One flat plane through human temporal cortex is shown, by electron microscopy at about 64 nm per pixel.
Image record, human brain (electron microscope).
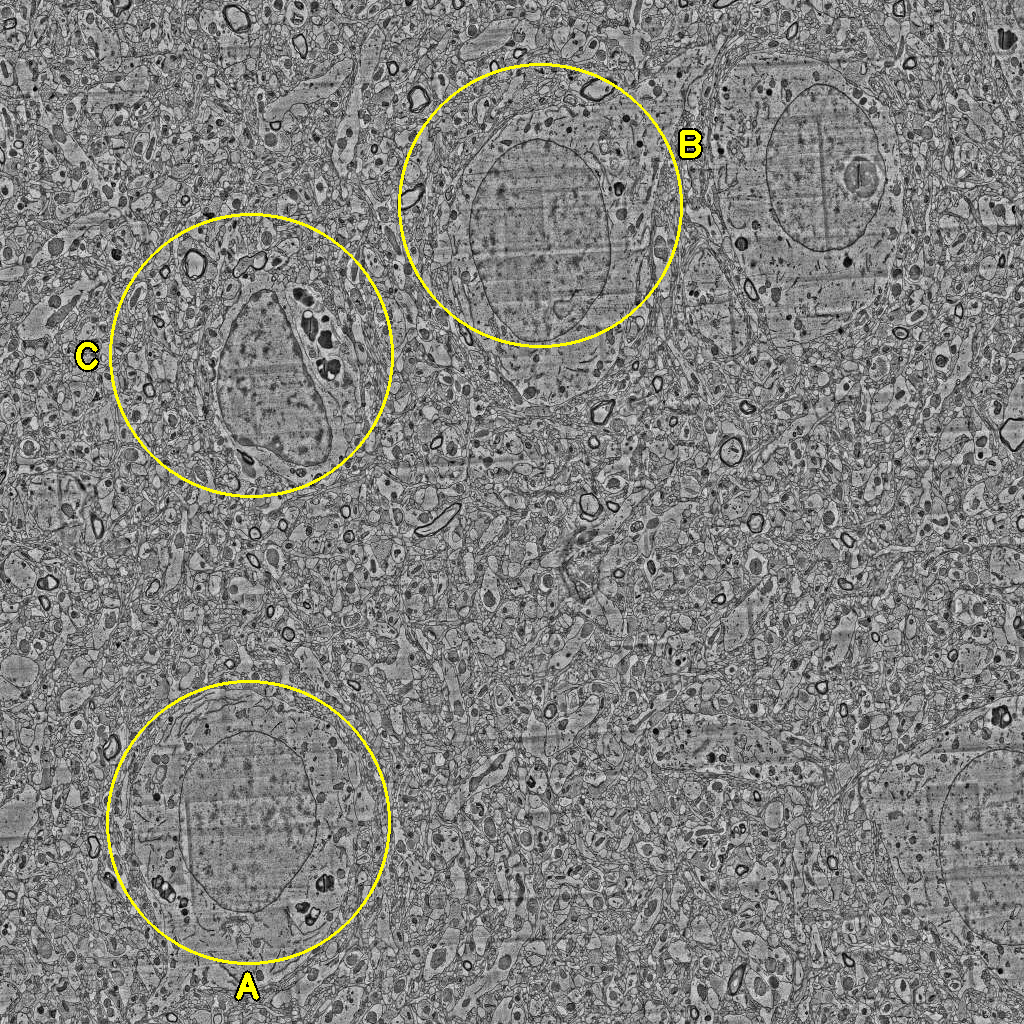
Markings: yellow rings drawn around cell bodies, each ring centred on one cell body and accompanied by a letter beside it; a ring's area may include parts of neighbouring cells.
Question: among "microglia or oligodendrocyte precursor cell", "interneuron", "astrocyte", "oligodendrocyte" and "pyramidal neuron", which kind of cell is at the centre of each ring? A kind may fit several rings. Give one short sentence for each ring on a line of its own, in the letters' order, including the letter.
Ring A is centred on the cell body of a pyramidal neuron.
Ring B is centred on the cell body of a pyramidal neuron.
Ring C is centred on the cell body of a microglial cell or oligodendrocyte precursor cell.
